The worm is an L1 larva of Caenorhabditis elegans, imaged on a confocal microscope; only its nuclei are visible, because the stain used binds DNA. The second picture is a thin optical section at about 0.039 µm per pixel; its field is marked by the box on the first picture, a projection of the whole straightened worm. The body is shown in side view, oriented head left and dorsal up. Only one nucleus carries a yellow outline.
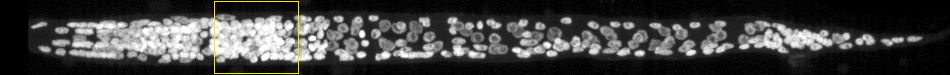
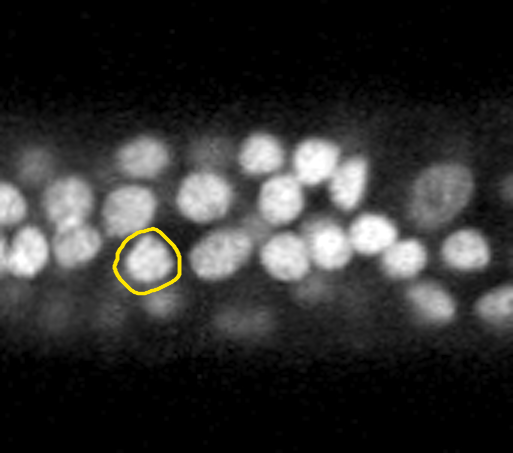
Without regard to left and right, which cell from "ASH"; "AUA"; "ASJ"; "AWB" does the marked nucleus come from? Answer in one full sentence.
This is the nucleus of AUA, a neuron.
